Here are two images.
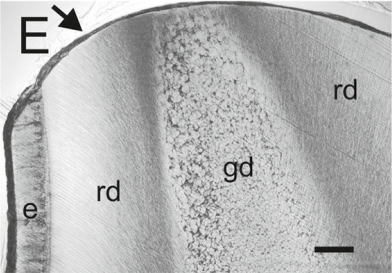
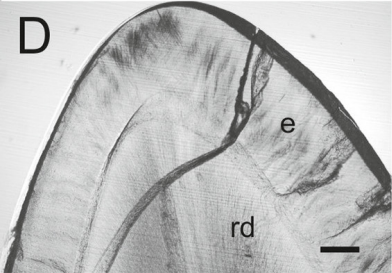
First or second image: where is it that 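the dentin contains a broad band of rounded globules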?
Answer: The first image.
